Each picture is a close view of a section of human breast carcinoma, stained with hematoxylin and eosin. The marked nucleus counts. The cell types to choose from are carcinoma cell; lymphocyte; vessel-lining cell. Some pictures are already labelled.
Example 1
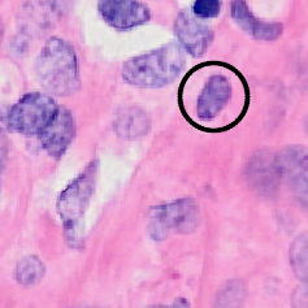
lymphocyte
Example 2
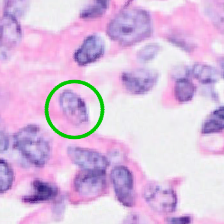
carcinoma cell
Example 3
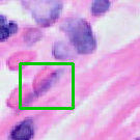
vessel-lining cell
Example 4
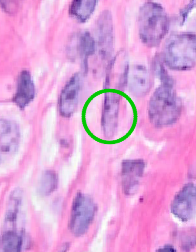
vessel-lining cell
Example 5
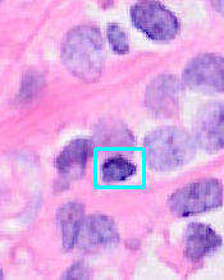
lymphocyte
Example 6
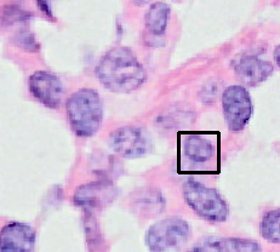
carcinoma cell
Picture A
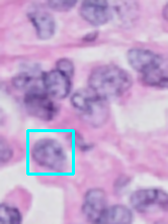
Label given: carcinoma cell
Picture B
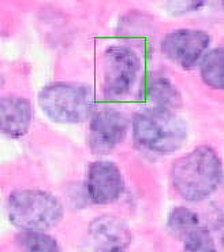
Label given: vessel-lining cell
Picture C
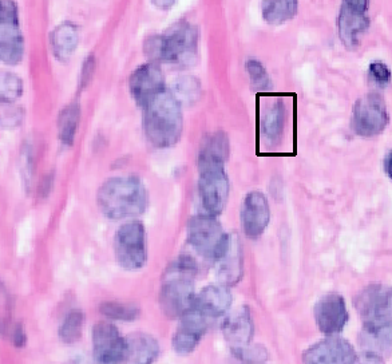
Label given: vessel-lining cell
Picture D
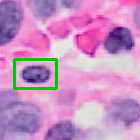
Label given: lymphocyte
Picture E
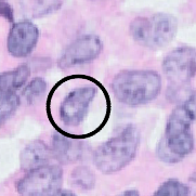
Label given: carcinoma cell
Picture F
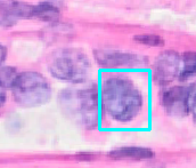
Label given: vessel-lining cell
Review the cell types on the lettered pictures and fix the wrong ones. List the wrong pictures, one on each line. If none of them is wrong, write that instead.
B: not vessel-lining cell but carcinoma cell
F: not vessel-lining cell but carcinoma cell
